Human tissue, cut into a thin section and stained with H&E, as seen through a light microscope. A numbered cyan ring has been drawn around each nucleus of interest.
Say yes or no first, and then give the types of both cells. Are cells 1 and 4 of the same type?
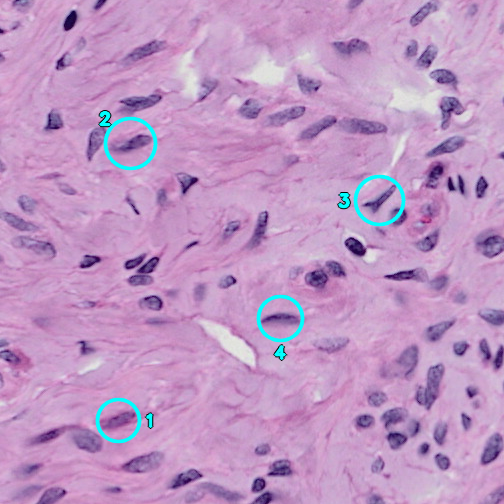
No, cell 1 is a smooth muscle cell, while cell 4 is a fibroblast.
